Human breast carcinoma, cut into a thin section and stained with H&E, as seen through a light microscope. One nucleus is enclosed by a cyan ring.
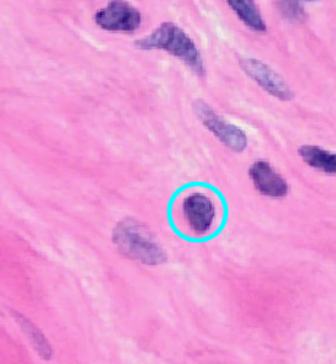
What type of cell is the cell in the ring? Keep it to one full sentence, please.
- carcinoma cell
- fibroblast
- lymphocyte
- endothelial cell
In short, the cell in the ring on this section is a lymphocyte.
